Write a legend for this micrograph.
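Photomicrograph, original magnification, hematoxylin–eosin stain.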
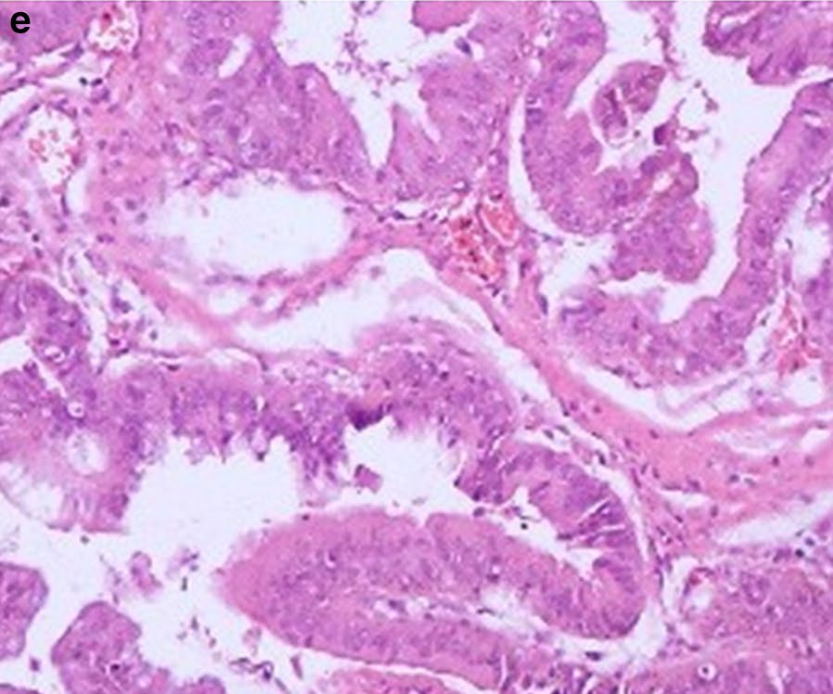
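A carcinoma made up of irregular, branching glands and papillary fronds lined by tall columnar epithelial cells. The cells are crowded and stratified, with enlarged, elongated, dark purple nuclei and pink cytoplasm, and they line open lumens. Between the glands run thin strands of pink fibrous stroma carrying small vessels with red blood cells.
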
